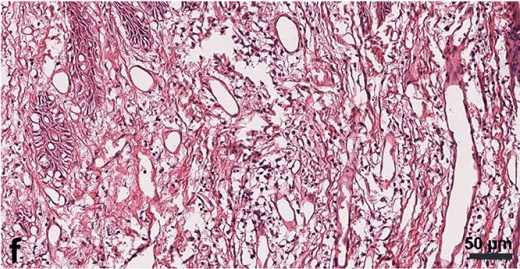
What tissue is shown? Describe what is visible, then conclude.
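Collagen fibers and abundant blood vessels. Loose pink fibrous strands fill the field. Many round and elongated empty vessel spaces are scattered through it.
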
